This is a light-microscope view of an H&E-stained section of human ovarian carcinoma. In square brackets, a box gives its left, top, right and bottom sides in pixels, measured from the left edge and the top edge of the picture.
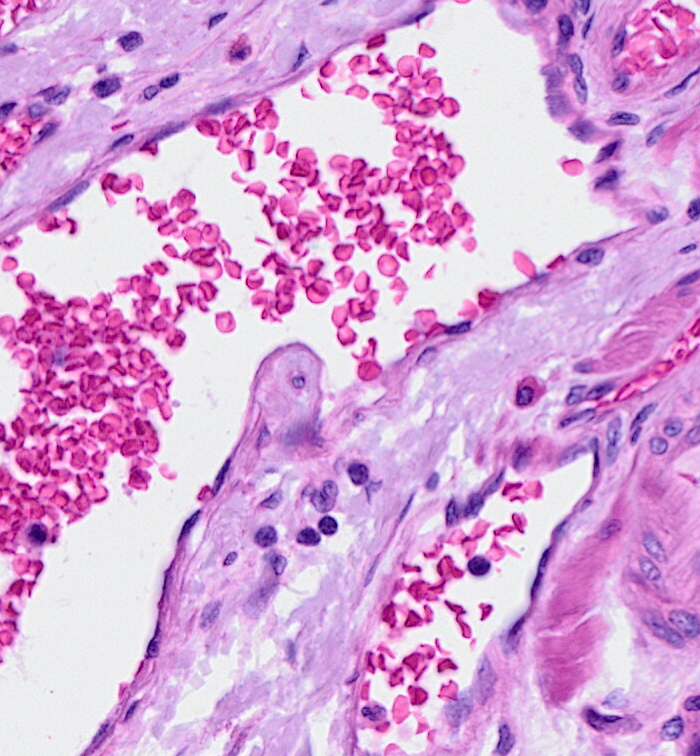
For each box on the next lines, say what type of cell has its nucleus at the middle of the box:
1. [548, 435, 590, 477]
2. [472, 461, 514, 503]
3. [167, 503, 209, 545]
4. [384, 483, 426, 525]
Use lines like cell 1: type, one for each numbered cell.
cell 1: endothelial cell
cell 2: endothelial cell
cell 3: endothelial cell
cell 4: fibroblast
